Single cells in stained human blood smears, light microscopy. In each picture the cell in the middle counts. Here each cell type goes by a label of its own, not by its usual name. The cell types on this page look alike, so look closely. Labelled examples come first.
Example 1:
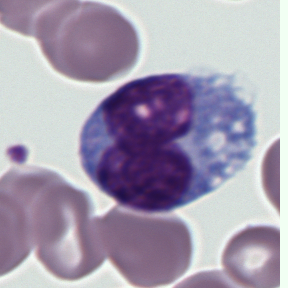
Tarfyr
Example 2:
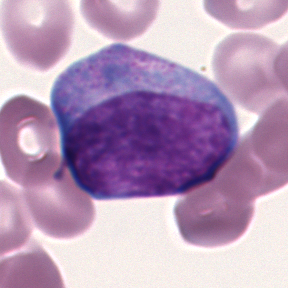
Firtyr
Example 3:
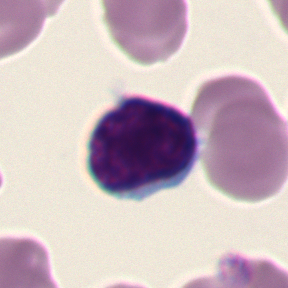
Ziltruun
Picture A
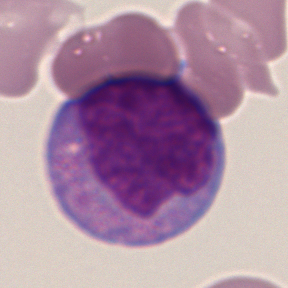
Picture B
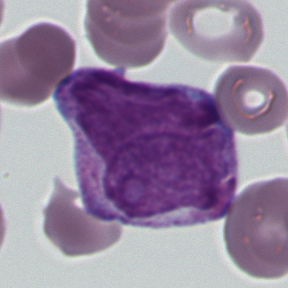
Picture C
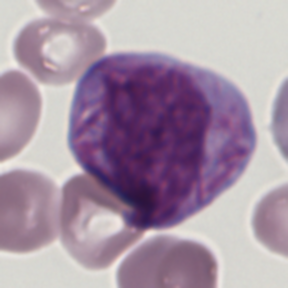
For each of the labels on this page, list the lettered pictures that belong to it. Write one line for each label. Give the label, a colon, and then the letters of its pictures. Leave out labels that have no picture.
Firtyr: A, B, C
